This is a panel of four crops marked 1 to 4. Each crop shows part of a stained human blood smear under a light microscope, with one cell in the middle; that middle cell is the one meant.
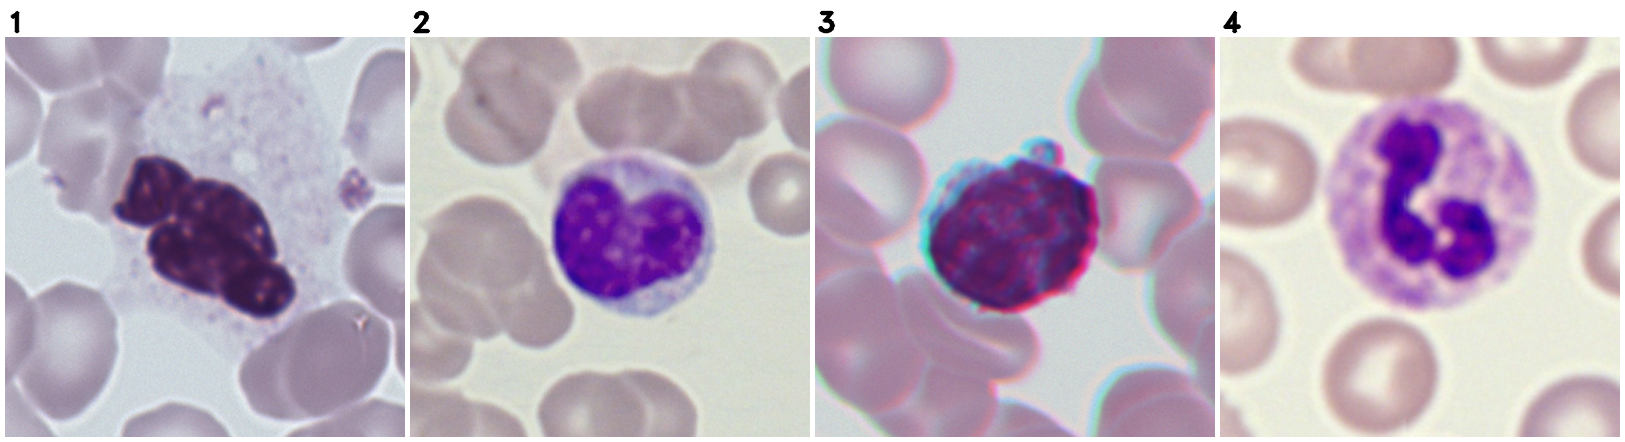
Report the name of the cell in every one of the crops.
1: neutrophil
2: lymphocyte
3: lymphocyte
4: neutrophil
